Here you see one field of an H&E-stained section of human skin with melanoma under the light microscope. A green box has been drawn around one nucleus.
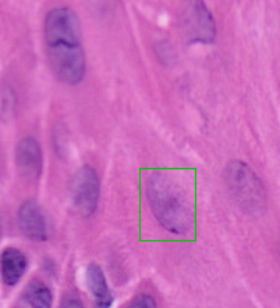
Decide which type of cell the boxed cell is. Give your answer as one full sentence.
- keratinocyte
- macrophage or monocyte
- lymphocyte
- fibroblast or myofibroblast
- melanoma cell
By cell type, the boxed cell is a keratinocyte.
